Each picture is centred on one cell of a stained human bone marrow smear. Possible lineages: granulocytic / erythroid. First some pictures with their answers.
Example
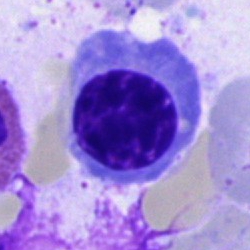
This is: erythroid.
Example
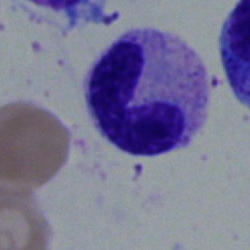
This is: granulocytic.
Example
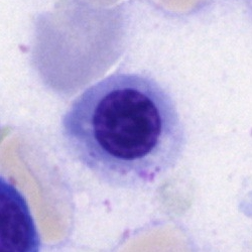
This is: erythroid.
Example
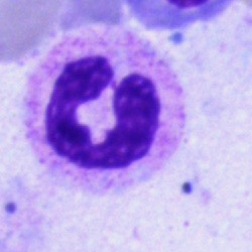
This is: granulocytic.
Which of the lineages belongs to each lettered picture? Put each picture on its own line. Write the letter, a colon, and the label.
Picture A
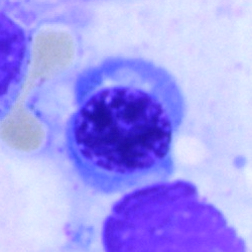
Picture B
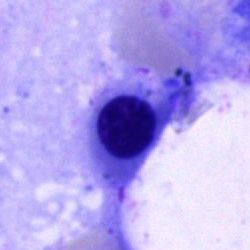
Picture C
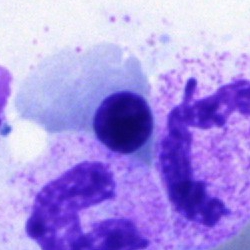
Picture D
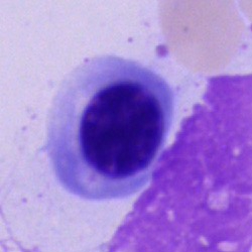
A: erythroid.
B: erythroid.
C: erythroid.
D: erythroid.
